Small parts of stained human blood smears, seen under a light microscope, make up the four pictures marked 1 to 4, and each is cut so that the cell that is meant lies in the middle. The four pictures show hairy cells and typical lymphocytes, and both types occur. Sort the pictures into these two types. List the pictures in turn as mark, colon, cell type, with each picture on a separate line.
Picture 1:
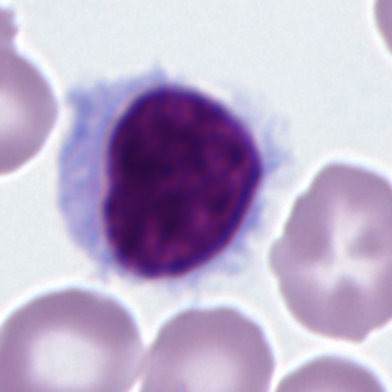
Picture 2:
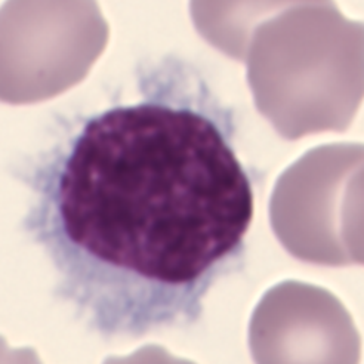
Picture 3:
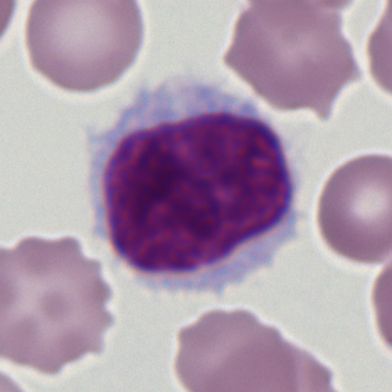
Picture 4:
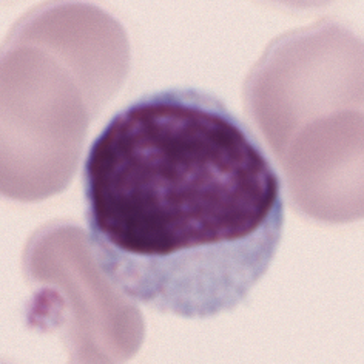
1: hairy cell
2: hairy cell
3: hairy cell
4: typical lymphocyte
